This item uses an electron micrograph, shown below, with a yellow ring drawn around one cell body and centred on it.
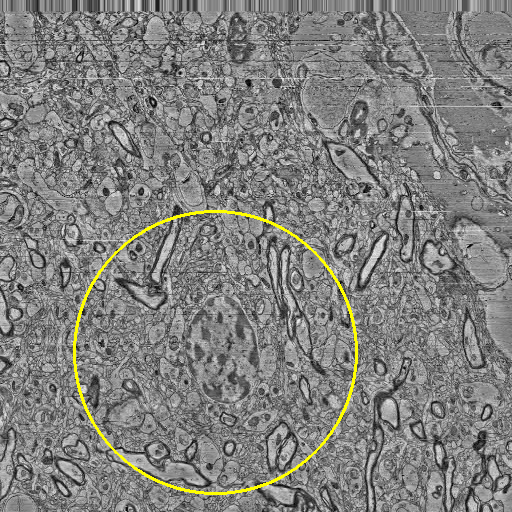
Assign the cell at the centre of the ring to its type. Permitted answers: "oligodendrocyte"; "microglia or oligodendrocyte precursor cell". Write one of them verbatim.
microglia or oligodendrocyte precursor cell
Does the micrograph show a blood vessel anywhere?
Yes, a vessel appears in the picture.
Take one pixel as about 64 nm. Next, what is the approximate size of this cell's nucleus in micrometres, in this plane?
Clearly longer than it is wide in this plane, the nucleus measures roughly 7 by 5 micrometres.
